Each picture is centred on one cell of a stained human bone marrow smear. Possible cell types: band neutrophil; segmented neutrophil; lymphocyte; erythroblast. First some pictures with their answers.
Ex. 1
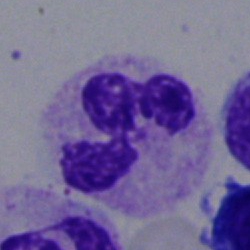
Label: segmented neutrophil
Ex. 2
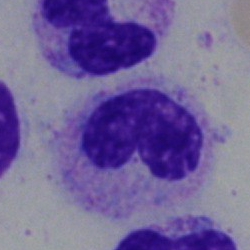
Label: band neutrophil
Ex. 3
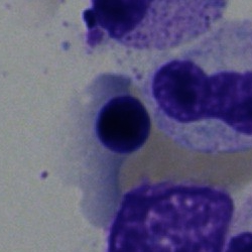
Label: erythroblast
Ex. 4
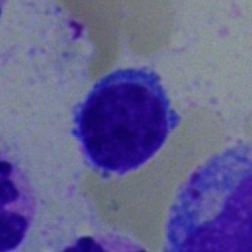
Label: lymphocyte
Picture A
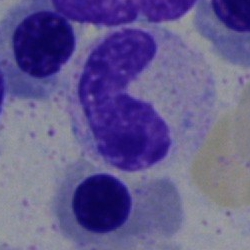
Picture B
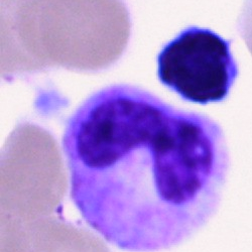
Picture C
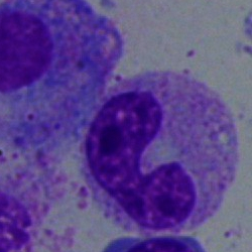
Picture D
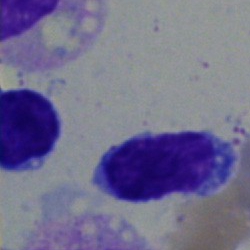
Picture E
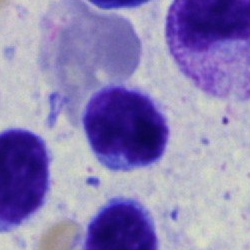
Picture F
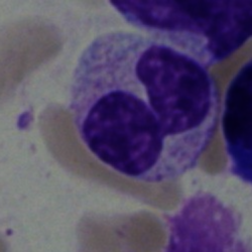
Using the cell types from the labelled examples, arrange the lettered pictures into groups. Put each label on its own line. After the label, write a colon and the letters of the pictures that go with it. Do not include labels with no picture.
band neutrophil: A, B, C
segmented neutrophil: F
lymphocyte: D, E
